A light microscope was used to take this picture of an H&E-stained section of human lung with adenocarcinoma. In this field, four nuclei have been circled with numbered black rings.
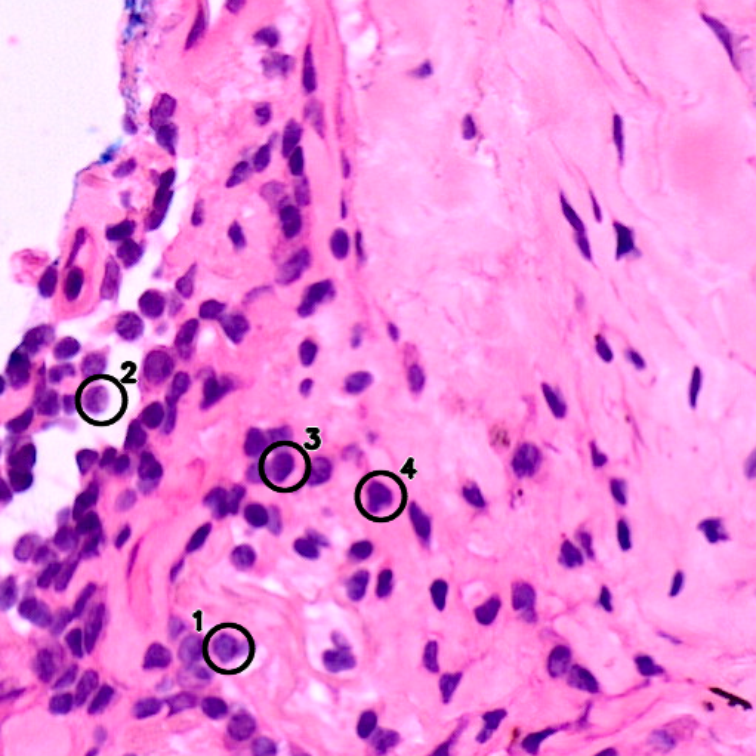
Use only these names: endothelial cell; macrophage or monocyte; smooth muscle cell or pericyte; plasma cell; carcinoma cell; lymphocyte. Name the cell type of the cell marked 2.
lymphocyte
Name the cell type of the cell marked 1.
lymphocyte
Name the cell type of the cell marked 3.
lymphocyte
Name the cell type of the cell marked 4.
plasma cell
